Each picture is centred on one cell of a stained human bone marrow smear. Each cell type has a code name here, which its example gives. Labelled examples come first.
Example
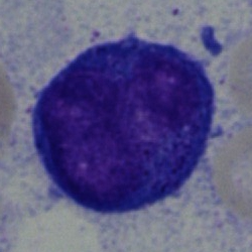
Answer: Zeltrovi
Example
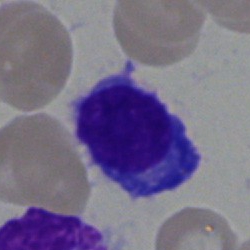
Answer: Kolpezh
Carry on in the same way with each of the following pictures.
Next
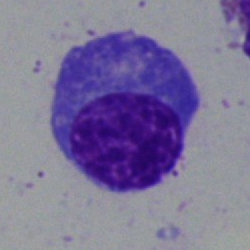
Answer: Kolpezh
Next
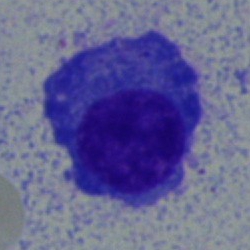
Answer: Kolpezh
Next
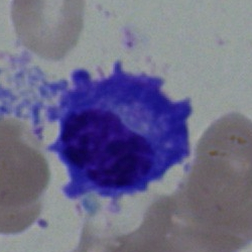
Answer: Kolpezh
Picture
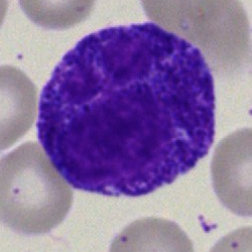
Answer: Zeltrovi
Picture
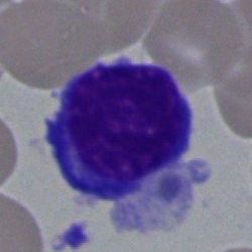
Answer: Kolpezh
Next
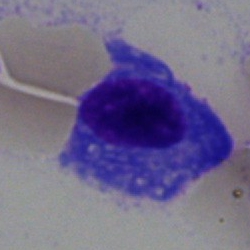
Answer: Kolpezh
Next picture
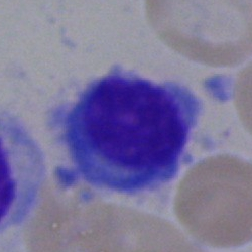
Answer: Kolpezh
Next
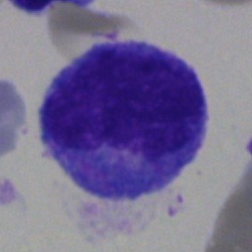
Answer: Zeltrovi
